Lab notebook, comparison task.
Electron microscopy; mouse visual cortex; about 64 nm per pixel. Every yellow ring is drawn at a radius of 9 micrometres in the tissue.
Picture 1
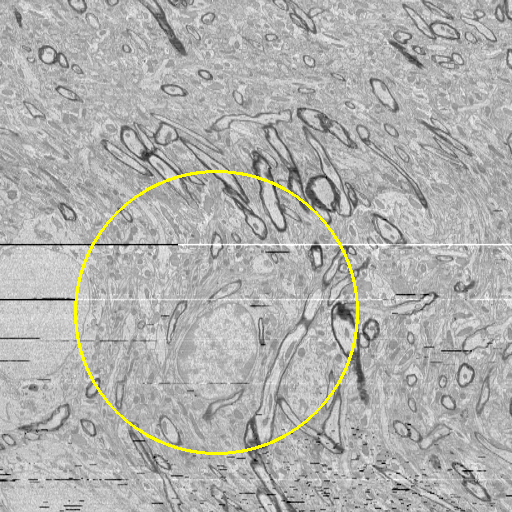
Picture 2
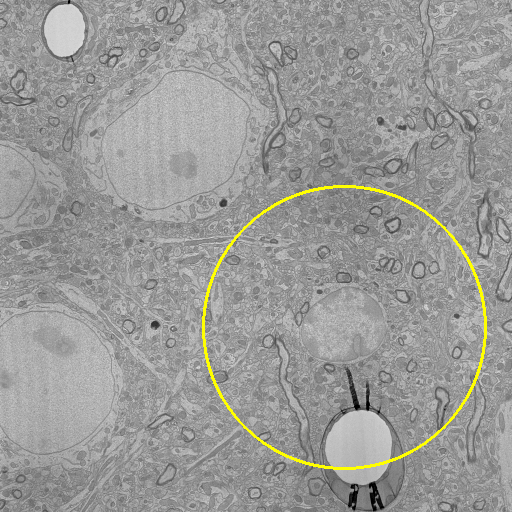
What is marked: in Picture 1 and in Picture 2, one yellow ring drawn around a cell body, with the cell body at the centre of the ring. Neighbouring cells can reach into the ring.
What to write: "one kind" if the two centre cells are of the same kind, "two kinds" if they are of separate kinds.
one kind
